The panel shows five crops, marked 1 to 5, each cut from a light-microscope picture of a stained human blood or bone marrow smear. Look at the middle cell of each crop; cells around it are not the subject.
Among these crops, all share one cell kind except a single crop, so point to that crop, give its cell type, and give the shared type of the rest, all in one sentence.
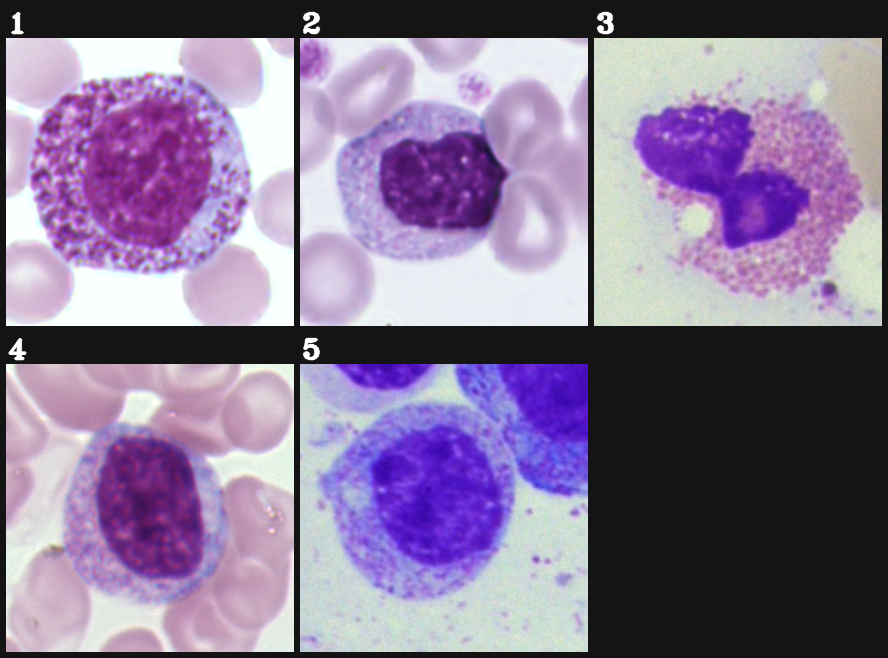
Crop 3 shows an eosinophil, while all of the others show myelocytes.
